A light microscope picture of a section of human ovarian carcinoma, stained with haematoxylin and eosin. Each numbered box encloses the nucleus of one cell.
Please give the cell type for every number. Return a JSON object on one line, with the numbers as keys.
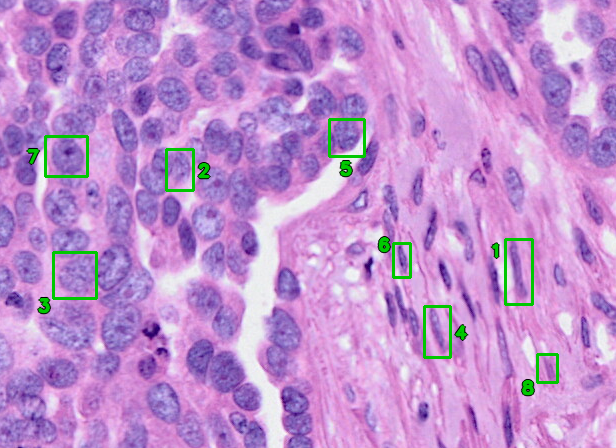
{"1": "fibroblast", "2": "carcinoma cell", "3": "carcinoma cell", "4": "fibroblast", "5": "carcinoma cell", "6": "fibroblast", "7": "carcinoma cell", "8": "fibroblast"}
